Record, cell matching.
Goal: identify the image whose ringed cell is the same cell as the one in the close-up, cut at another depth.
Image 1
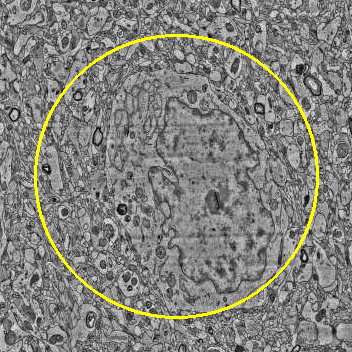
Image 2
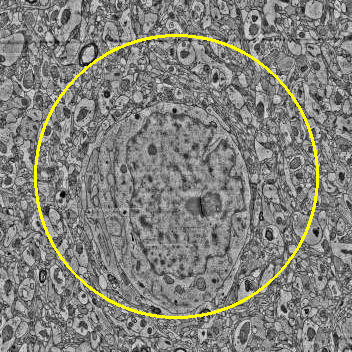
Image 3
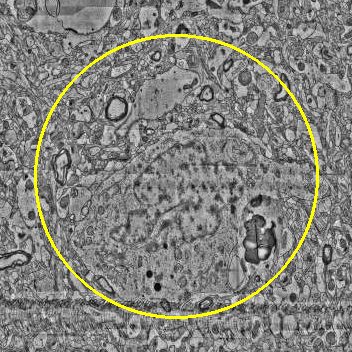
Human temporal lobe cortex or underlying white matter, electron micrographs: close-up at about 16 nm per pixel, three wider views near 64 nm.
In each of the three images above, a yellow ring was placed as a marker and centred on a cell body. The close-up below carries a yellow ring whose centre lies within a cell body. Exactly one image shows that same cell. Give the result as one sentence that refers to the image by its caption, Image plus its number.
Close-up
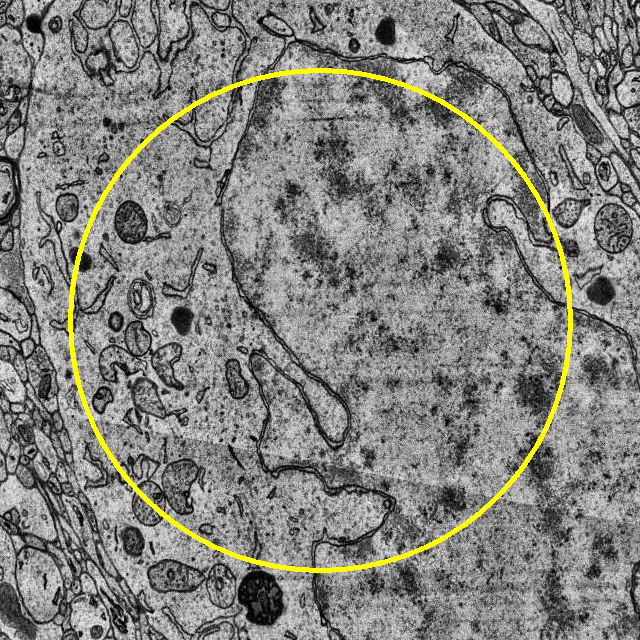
The cell pictured in the close-up is ringed in Image 1.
